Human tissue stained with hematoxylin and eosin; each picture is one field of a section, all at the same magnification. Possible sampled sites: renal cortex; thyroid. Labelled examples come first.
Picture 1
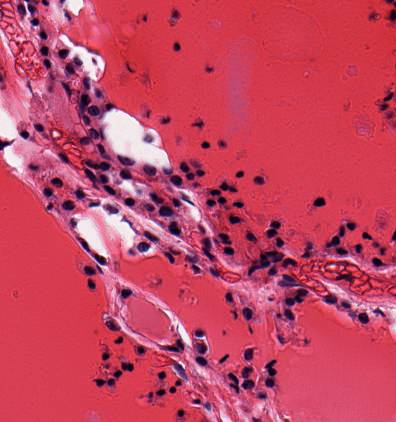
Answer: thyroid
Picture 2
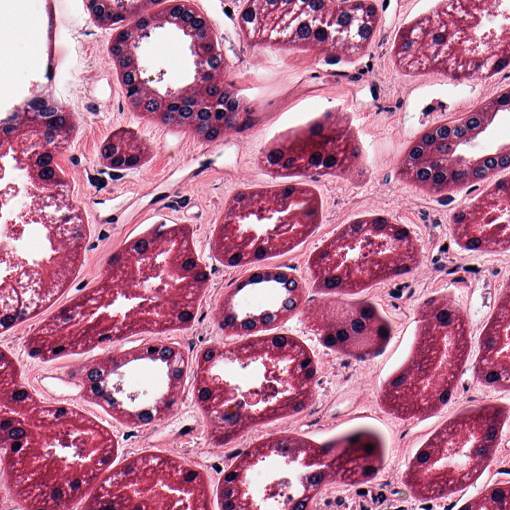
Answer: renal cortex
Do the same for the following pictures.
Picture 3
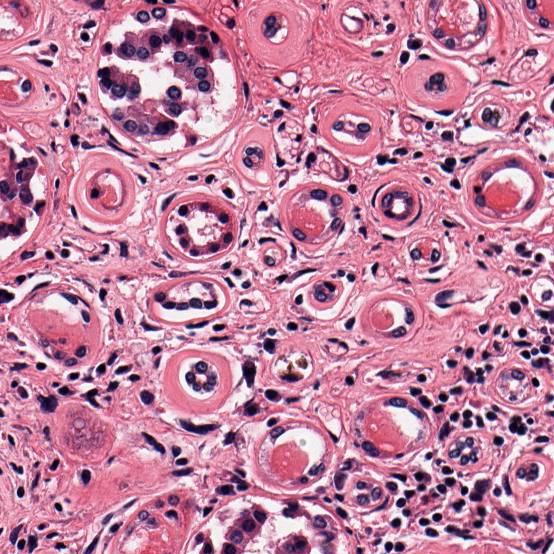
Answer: renal cortex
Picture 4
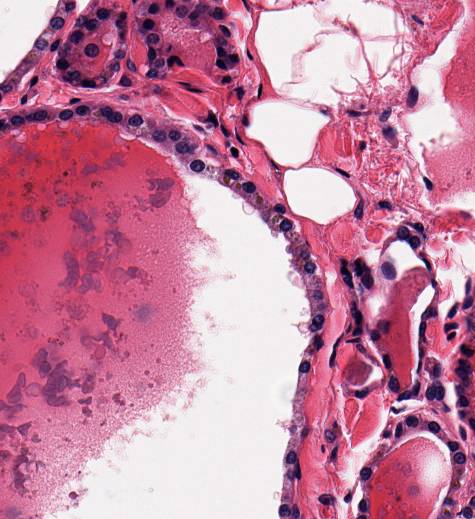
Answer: thyroid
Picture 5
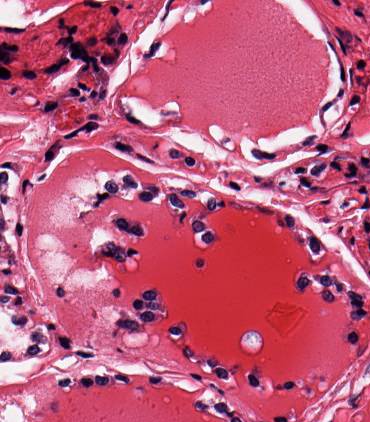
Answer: thyroid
